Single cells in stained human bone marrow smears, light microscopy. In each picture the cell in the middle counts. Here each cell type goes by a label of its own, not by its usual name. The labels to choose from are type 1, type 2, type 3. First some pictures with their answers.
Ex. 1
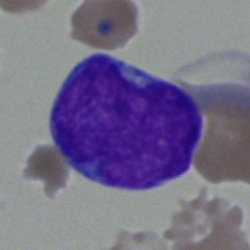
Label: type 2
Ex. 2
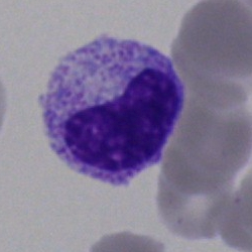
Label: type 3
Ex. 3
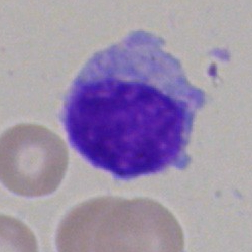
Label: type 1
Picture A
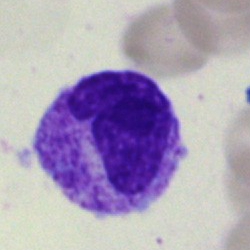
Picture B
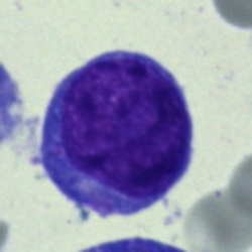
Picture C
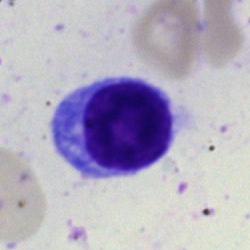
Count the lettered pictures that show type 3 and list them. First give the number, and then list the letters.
Count: 1 (A)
